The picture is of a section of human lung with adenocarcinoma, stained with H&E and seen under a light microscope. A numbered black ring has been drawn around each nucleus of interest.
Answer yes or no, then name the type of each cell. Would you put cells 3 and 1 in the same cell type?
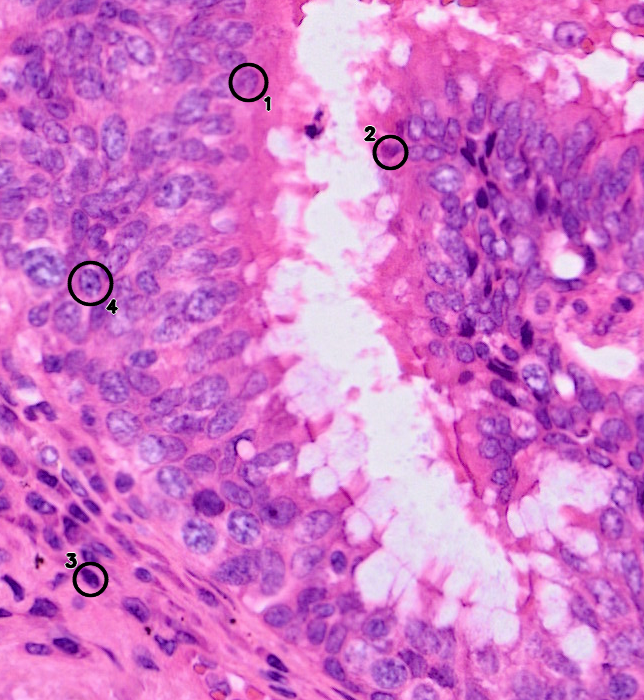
No, cell 3 is a plasma cell, whereas a ciliated epithelial cell is what cell 1 is.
